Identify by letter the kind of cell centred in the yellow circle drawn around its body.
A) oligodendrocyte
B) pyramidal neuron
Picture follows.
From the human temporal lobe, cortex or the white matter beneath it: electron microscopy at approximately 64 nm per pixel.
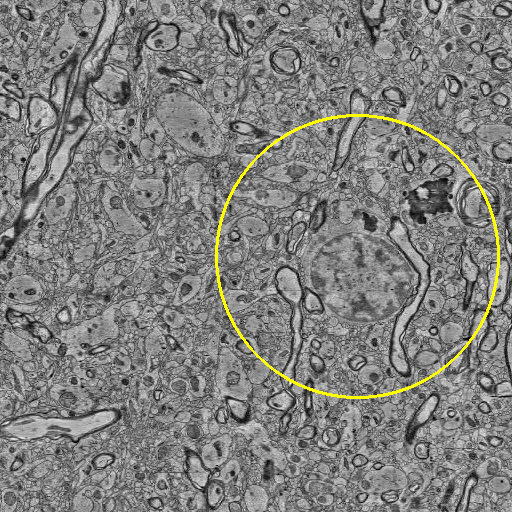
A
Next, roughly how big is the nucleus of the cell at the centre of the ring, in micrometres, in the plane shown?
The nucleus appears roughly 7 by 6 micrometres in this plane.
